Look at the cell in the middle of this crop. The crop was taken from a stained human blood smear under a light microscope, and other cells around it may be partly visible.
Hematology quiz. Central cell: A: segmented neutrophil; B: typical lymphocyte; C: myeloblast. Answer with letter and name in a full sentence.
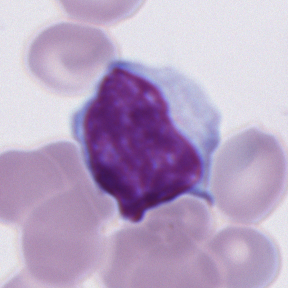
Option B is correct, naming the cell in the middle as a typical lymphocyte.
